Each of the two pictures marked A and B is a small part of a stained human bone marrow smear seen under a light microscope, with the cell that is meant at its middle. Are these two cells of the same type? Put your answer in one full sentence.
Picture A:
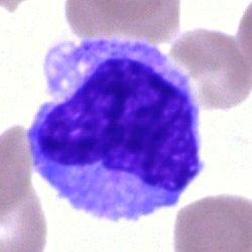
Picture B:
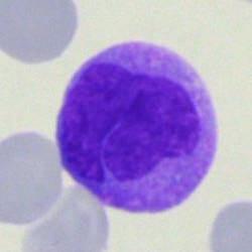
Yes, both are monocytes.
